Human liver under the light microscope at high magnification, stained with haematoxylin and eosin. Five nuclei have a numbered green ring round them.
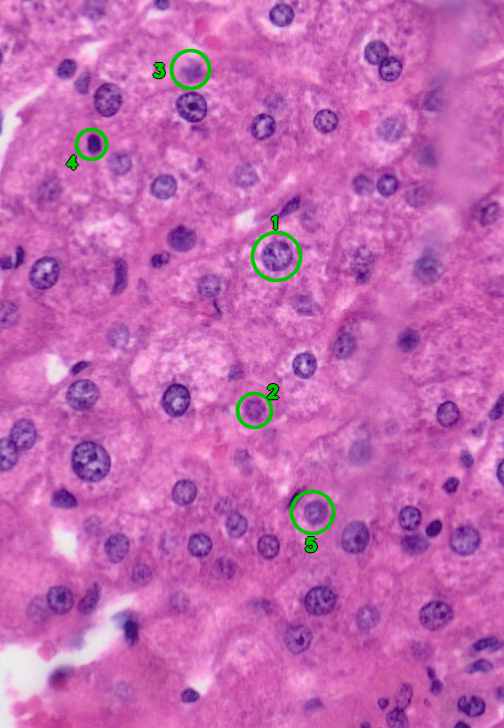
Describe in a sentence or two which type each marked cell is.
Cell 1 is a hepatocyte, cell 2 is a hepatocyte, cell 3 is an endothelial cell, cell 4 is a lymphocyte and cell 5 is a hepatocyte.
